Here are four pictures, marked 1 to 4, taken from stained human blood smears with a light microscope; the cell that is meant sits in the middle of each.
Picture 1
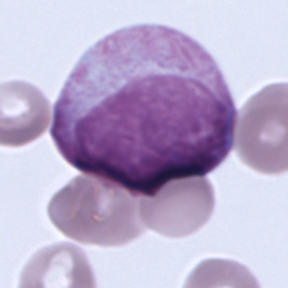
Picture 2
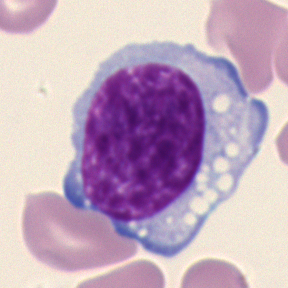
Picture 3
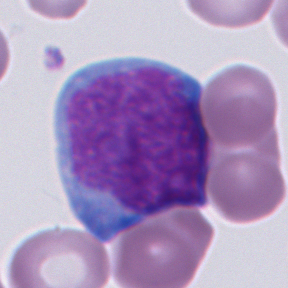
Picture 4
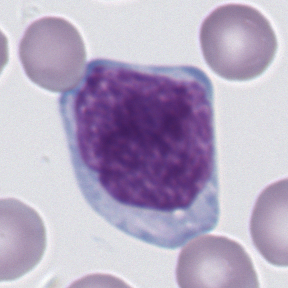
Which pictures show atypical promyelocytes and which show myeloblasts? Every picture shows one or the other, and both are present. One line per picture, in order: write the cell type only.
atypical promyelocyte
myeloblast
myeloblast
myeloblast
